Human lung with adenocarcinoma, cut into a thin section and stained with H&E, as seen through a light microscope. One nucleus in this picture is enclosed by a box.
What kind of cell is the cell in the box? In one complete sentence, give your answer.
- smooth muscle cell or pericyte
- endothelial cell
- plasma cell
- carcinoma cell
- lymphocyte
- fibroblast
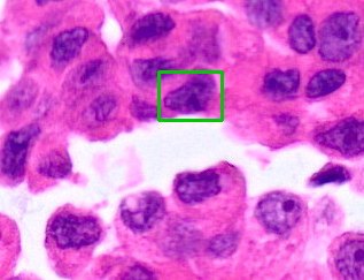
It is a carcinoma cell that the cell in the box represents.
